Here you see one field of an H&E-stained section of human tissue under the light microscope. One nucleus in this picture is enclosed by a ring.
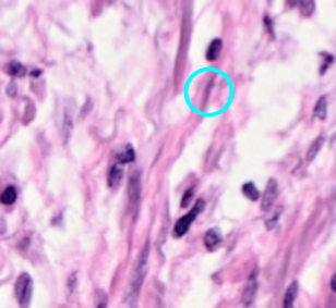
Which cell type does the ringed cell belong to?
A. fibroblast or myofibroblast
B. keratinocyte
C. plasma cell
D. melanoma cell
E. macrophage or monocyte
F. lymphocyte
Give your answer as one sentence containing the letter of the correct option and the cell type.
Option A is correct in that the ringed cell is a fibroblast or myofibroblast.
